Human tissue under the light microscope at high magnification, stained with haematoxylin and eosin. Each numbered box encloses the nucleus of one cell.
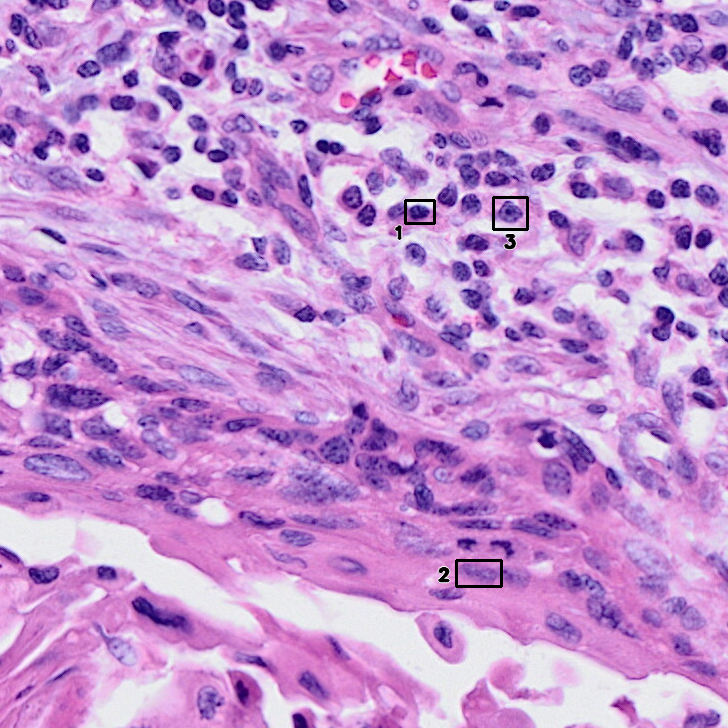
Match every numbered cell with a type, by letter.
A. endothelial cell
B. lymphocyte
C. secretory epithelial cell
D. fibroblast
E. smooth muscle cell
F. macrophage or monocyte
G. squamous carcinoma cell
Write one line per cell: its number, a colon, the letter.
1: B
2: G
3: B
